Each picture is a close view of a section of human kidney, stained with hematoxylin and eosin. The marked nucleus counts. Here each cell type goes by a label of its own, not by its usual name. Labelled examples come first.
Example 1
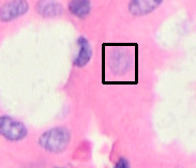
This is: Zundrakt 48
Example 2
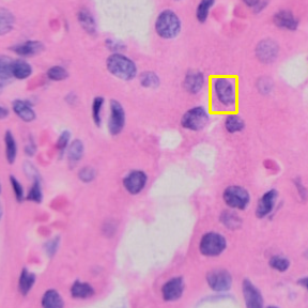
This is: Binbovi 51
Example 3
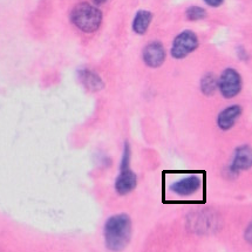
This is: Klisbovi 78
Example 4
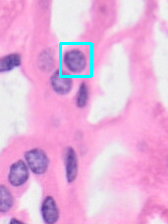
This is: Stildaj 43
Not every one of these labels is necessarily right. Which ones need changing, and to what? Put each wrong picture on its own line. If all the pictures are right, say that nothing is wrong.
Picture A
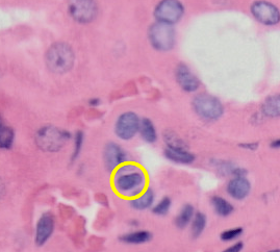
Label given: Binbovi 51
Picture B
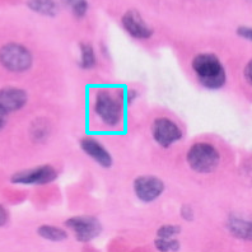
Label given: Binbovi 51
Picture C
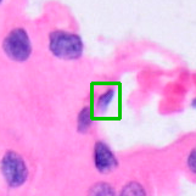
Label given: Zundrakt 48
Wrong: A (Binbovi 51); correct: Stildaj 43
Wrong: C (Zundrakt 48); correct: Klisbovi 78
